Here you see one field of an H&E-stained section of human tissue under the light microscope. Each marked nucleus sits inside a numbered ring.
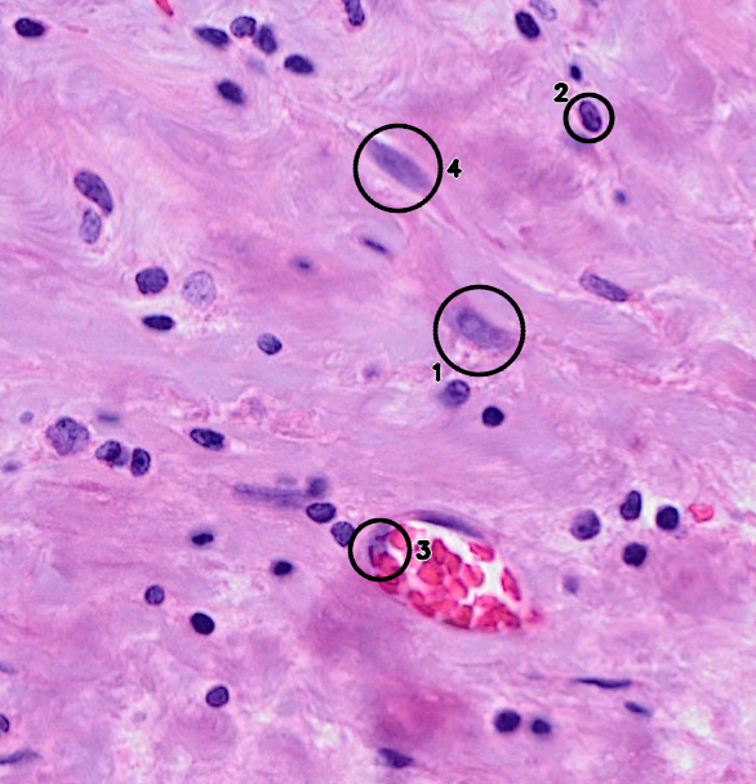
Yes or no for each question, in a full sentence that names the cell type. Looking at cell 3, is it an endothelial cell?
Yes, the marked cell number 3 is an endothelial cell.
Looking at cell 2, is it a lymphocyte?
Yes, in this section the cell with number 2 is a lymphocyte.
